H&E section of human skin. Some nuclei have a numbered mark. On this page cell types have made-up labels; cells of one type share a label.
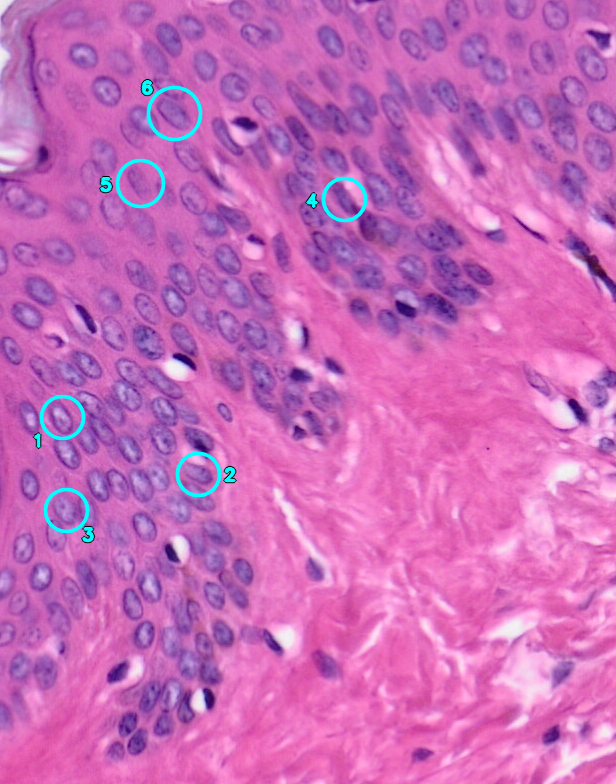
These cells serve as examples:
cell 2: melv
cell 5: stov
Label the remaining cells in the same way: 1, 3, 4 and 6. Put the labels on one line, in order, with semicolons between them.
stov; stov; melv; stov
